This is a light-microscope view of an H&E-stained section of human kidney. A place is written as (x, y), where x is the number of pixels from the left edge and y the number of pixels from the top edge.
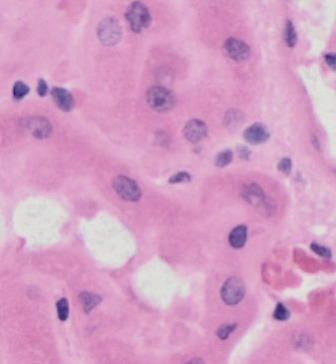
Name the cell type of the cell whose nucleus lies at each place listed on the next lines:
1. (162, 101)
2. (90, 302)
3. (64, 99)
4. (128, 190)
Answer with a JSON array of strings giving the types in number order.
["proximal tubule cell", "proximal tubule cell", "endothelial cell", "proximal tubule cell"]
